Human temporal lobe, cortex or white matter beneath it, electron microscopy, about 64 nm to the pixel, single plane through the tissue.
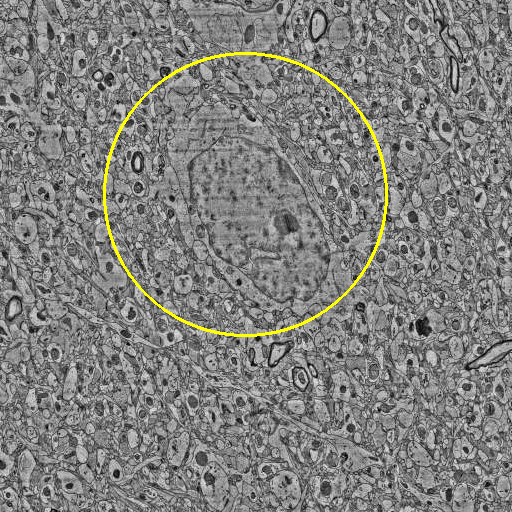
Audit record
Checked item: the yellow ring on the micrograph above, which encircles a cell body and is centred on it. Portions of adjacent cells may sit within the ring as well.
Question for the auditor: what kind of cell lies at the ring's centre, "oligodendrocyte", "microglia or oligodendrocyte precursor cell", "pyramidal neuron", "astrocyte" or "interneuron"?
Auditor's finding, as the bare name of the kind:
interneuron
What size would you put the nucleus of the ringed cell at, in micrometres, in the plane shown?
In this plane, approximately 12 by 7 micrometers, and clearly longer than it is wide.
